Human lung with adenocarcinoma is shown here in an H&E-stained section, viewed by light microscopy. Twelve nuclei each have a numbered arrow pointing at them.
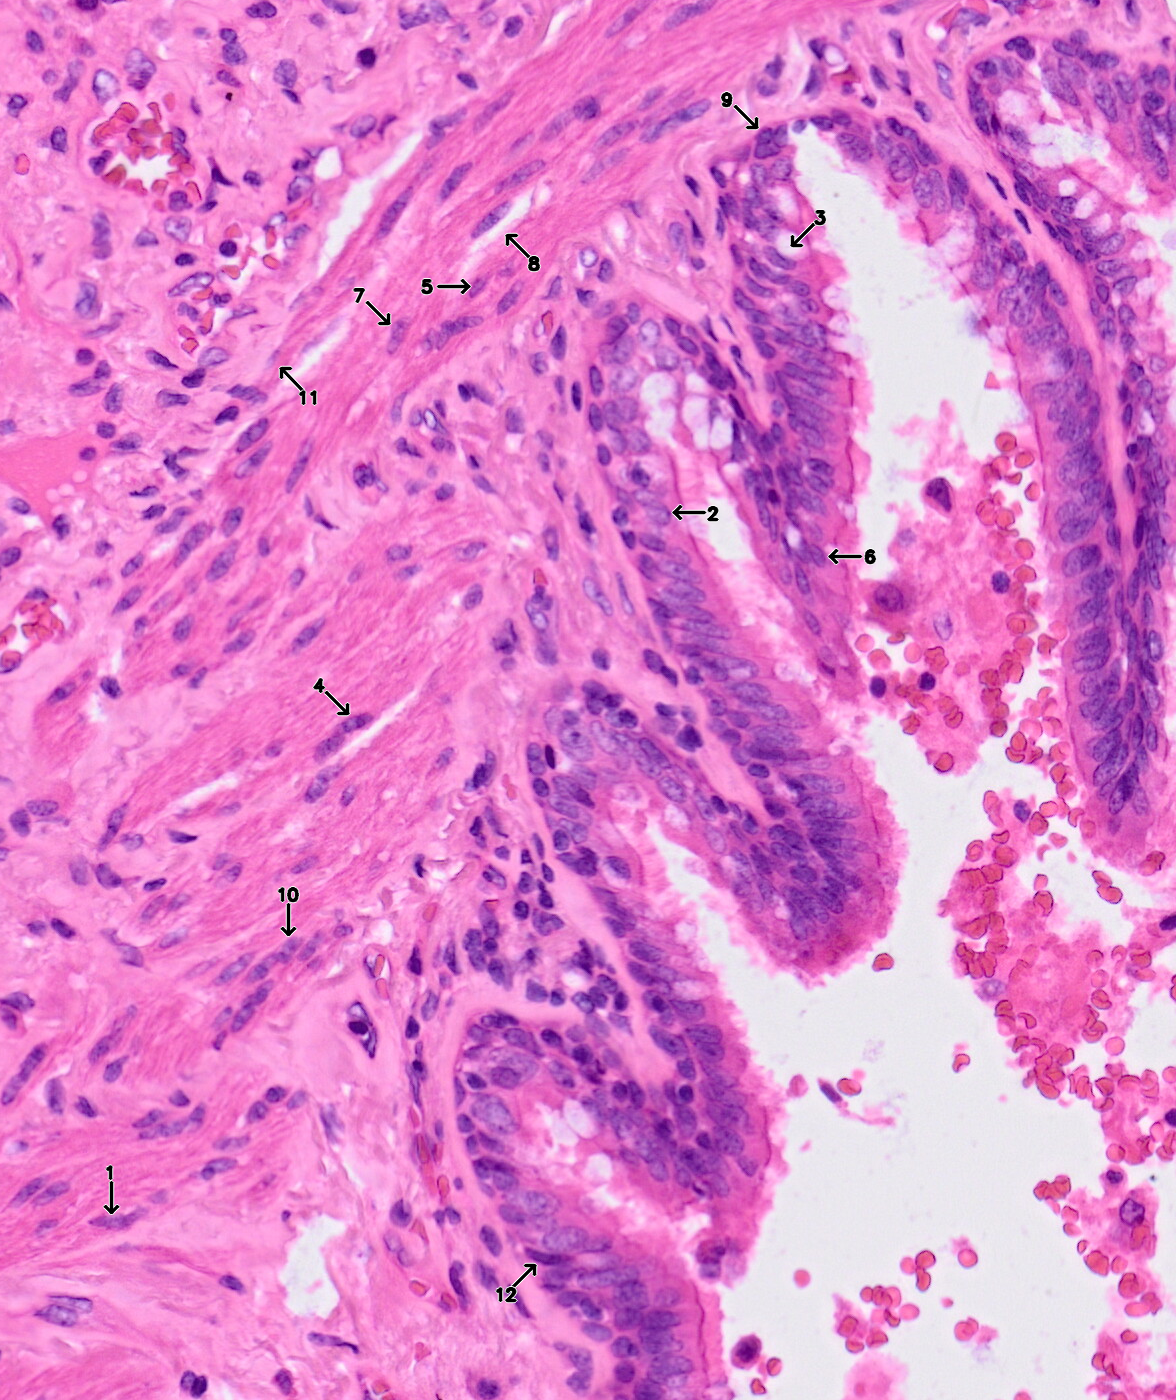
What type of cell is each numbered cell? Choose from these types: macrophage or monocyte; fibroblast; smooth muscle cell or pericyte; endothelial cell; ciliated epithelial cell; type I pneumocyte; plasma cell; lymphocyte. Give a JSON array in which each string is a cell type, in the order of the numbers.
["smooth muscle cell or pericyte", "ciliated epithelial cell", "ciliated epithelial cell", "smooth muscle cell or pericyte", "smooth muscle cell or pericyte", "ciliated epithelial cell", "smooth muscle cell or pericyte", "smooth muscle cell or pericyte", "ciliated epithelial cell", "smooth muscle cell or pericyte", "smooth muscle cell or pericyte", "ciliated epithelial cell"]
